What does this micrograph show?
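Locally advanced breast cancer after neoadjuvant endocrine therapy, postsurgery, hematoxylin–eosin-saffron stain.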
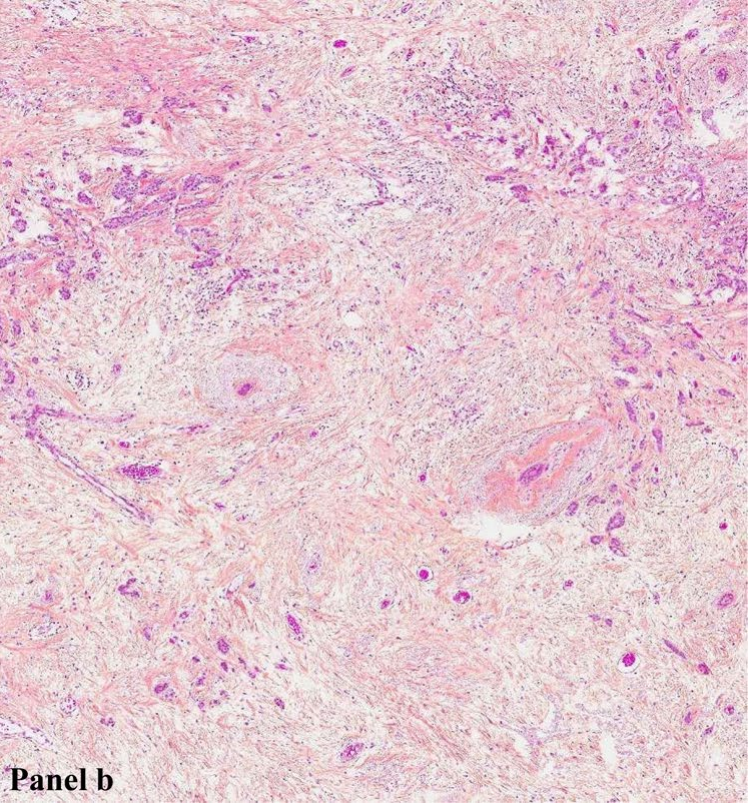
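Loose, pale pink fibrous stroma fills the field, with many small irregular nests, cords and single clusters of purple-staining epithelial cells scattered through it, and a few thick-walled vessels cut in cross-section. Denser bands of pink collagen and areas of small dark stromal nuclei run among the nests.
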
